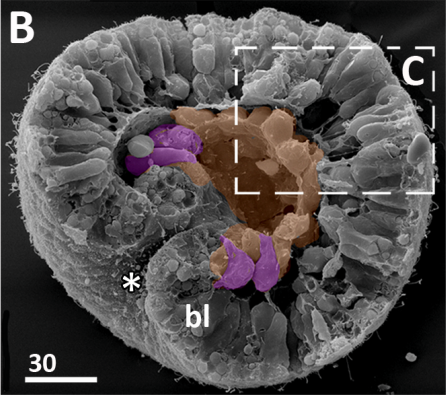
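Split late gastrula embryo seen by scanning electron microscopy, with an outer layer of tall columnar ectodermal cells enclosing an inner mass of archenteron cells. The outer cells are long and narrow, packed side by side in a single thick layer around the whole embryo. Near the blastopore lip, where the outer layer folds inward, a few magenta cells are bottle-shaped. The blastopore opening lies at one side of the section.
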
